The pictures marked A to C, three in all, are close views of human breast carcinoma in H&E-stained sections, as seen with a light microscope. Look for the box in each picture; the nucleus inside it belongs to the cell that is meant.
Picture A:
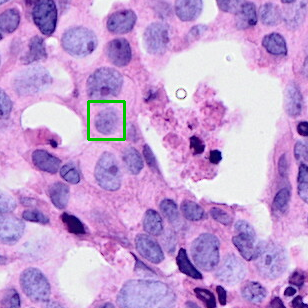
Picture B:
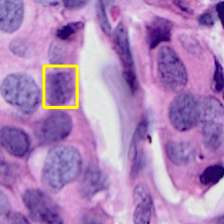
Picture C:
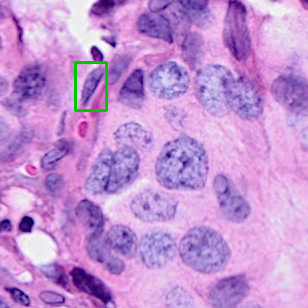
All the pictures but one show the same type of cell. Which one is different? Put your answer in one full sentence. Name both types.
Picture C differs, because its cell is an endothelial cell and the rest are carcinoma cells.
